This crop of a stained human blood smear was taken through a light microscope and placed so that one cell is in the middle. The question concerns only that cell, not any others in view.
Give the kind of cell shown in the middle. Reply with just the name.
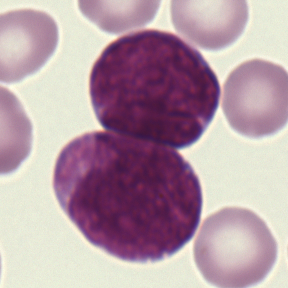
myeloblast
